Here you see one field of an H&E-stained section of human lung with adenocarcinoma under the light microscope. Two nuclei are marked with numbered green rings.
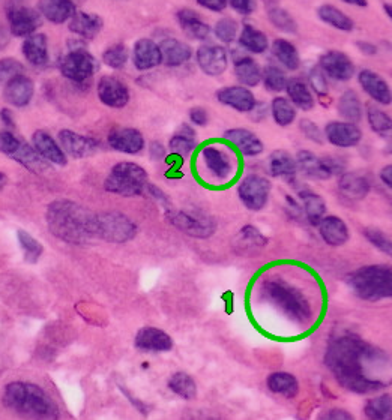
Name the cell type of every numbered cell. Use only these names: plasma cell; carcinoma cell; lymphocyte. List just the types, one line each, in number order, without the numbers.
carcinoma cell
lymphocyte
